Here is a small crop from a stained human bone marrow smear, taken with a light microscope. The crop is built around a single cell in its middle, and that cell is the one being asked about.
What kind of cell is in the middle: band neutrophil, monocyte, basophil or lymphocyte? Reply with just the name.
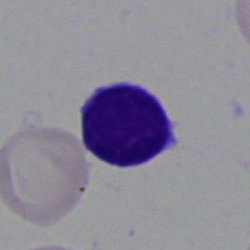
lymphocyte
